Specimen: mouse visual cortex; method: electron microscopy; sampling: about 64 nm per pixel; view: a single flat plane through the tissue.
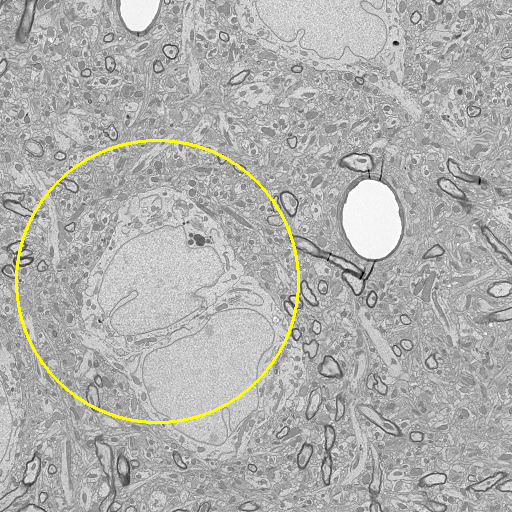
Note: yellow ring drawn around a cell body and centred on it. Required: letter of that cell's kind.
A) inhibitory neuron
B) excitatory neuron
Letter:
A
